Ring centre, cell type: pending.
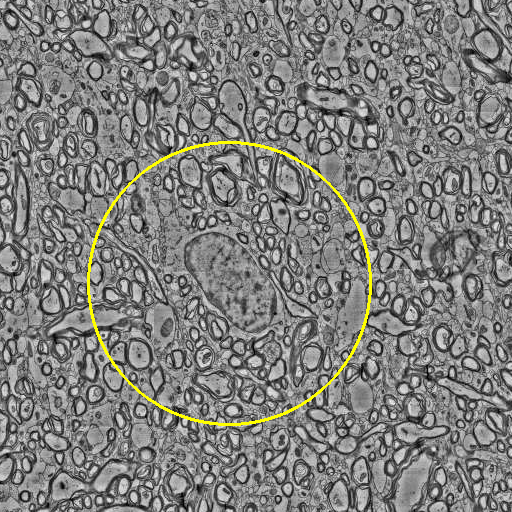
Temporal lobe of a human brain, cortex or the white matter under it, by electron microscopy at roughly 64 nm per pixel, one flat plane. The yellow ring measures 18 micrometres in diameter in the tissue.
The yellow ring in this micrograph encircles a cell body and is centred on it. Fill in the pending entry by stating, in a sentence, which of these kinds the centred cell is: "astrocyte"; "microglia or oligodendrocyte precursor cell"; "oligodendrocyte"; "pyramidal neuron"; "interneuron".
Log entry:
The centred cell is recorded as a microglial cell or oligodendrocyte precursor cell.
